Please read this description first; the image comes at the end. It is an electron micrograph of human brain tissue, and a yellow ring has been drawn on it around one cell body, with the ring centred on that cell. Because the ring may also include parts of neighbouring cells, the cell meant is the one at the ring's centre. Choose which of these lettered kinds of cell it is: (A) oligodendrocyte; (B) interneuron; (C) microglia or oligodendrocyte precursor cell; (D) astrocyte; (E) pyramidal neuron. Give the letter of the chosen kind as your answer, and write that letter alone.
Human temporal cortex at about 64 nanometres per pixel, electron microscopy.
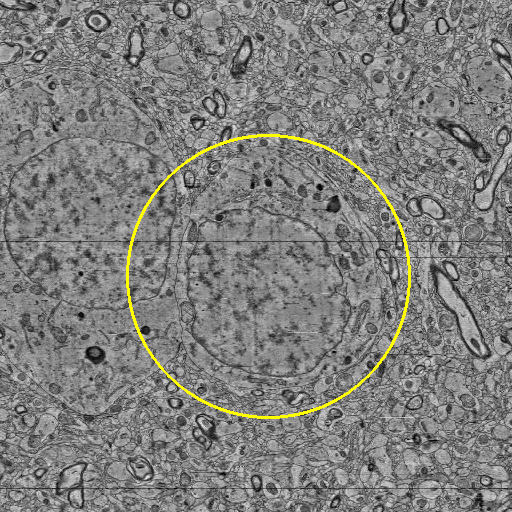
E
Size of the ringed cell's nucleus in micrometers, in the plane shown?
Approximately 11 micrometers across in this plane.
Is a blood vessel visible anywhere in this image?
No, there is no blood vessel in the image.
